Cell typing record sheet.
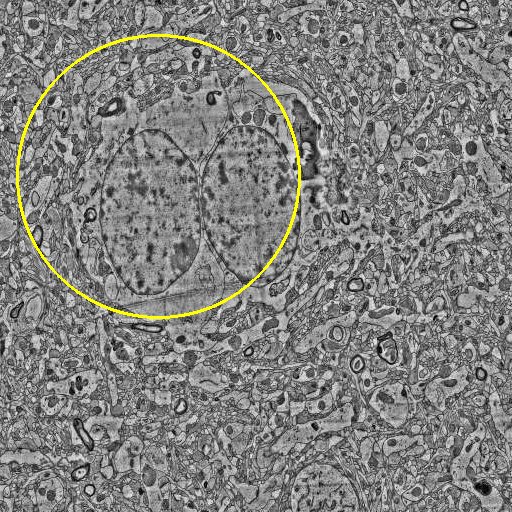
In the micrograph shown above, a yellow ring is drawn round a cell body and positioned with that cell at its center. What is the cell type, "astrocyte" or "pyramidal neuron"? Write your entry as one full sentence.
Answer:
The cell body at the center of the ring belongs to an astrocyte.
